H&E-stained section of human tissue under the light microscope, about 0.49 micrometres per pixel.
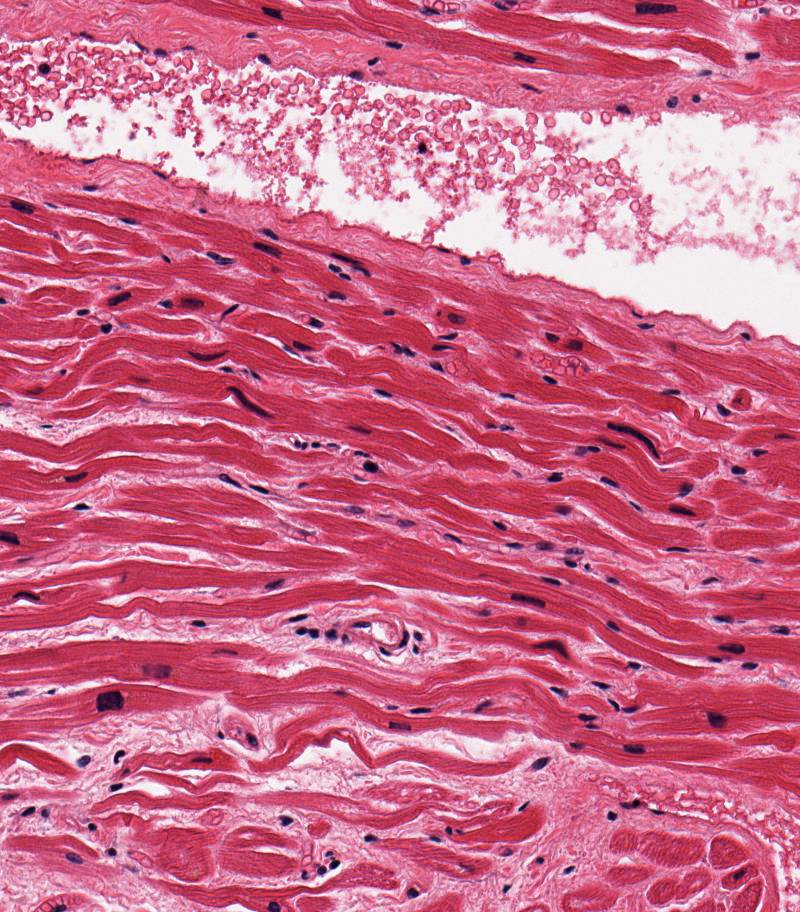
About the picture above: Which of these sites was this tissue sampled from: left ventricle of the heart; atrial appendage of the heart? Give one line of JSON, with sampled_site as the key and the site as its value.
{"sampled_site": "atrial appendage of the heart"}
